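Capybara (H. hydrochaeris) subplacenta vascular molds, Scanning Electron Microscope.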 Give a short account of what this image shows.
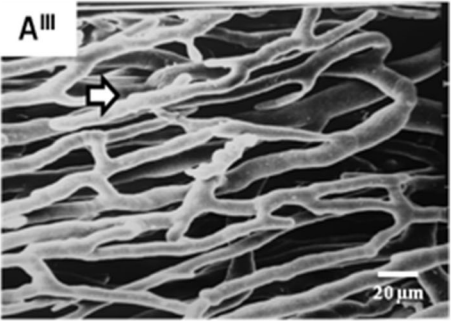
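The casts are smooth, cylindrical and of varying calibre; many bend, loop and join neighbours through short oblique connections, forming an interconnected mesh. Along individual vessels the diameter is not uniform: segments widen into bulging dilatations and narrow into constrictions.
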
